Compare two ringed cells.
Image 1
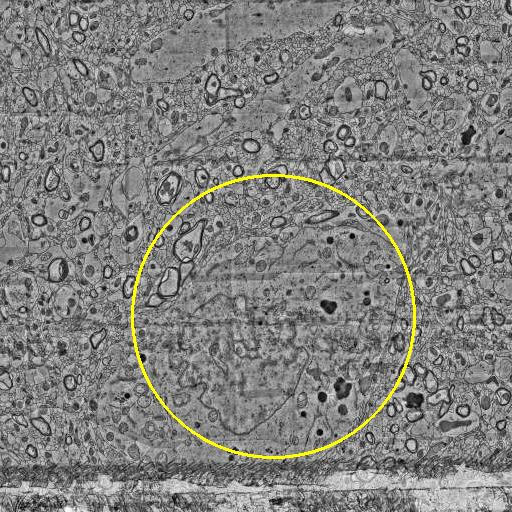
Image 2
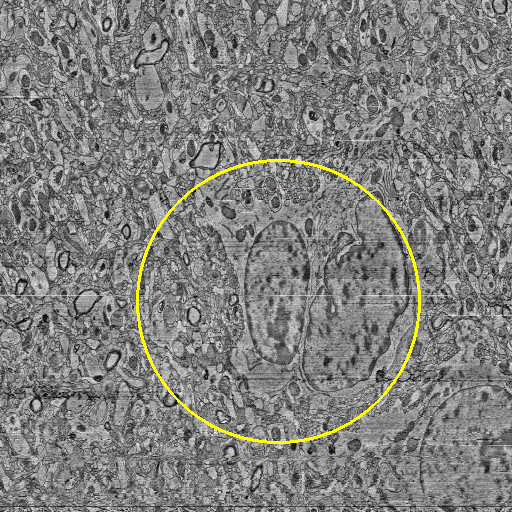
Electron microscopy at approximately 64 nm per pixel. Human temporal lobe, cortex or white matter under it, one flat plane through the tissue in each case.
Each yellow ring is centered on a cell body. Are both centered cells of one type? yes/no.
no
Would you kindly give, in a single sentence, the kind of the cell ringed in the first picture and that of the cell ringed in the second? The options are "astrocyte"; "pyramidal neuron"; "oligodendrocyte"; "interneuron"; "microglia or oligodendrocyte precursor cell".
The second cell is an astrocyte, and the first cell is an oligodendrocyte.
